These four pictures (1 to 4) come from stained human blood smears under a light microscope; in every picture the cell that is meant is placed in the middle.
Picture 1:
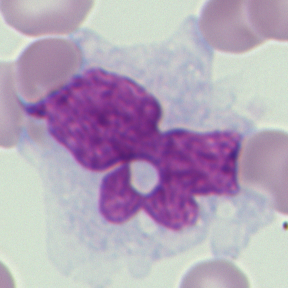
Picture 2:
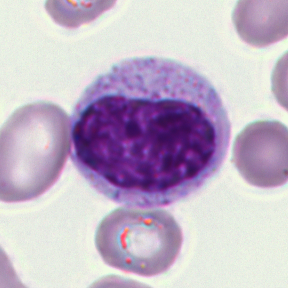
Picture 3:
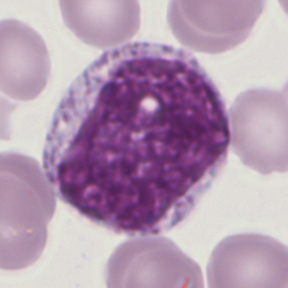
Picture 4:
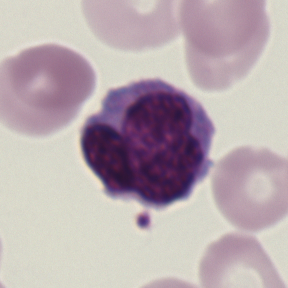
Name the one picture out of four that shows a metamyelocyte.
2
